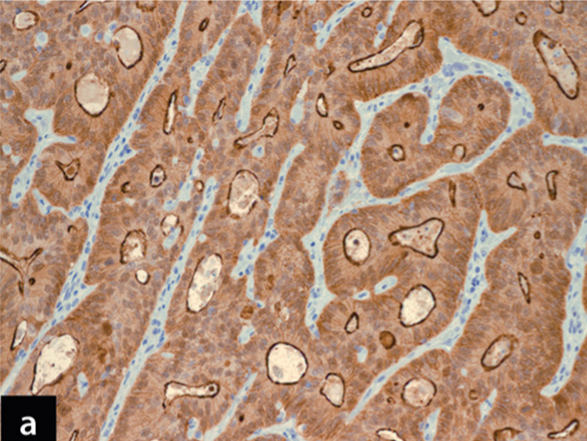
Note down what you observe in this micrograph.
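Crowded malignant glands of tall columnar cells, separated by narrow strands of blue stroma, open onto many small round and irregular lumens. The cells are a light brown throughout, but along each luminal surface runs a crisp dark brown line, while the sides facing the stroma lack it. This is an adenocarcinoma with staining of the apical brush border.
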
